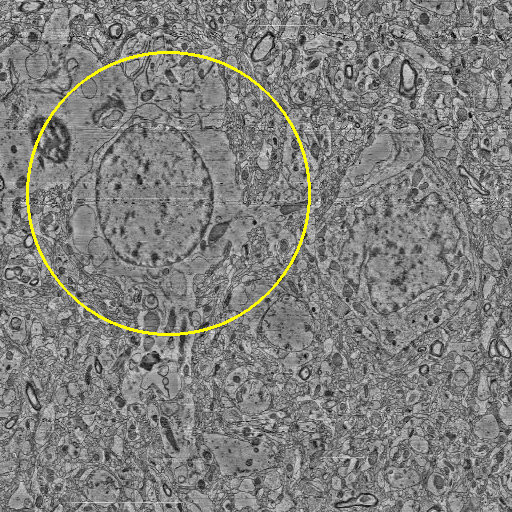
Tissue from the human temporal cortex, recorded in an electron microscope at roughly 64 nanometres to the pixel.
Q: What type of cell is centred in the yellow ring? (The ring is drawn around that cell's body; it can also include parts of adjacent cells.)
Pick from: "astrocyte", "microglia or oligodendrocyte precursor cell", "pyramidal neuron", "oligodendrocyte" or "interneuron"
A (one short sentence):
The yellow ring is centred on an astrocyte.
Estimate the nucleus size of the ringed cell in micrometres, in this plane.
In this plane, roughly 10 by 8 micrometres.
